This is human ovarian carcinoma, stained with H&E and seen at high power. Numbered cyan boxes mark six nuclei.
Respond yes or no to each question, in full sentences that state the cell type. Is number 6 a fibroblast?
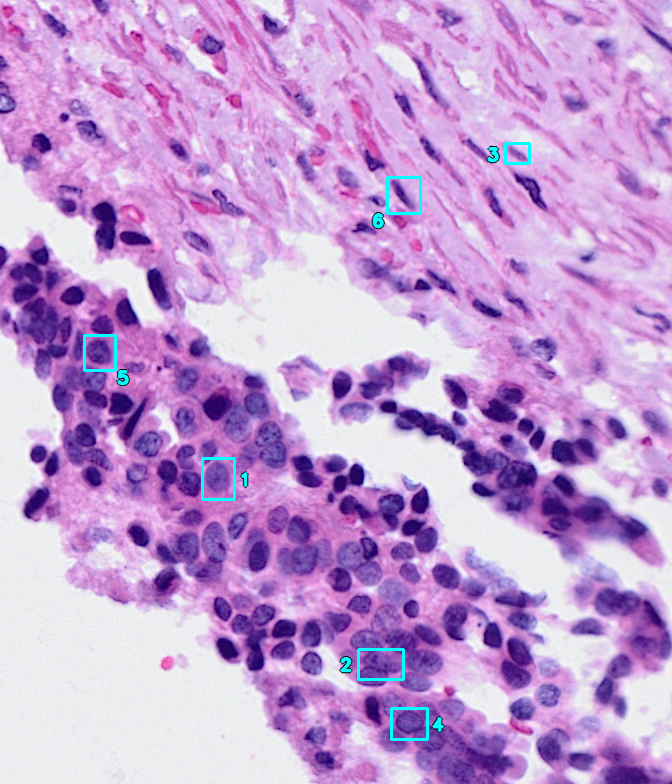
Yes, regarding number 6, the cell is a fibroblast.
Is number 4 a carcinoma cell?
Yes, kindly take note: the cell numbered 4 is a carcinoma cell.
